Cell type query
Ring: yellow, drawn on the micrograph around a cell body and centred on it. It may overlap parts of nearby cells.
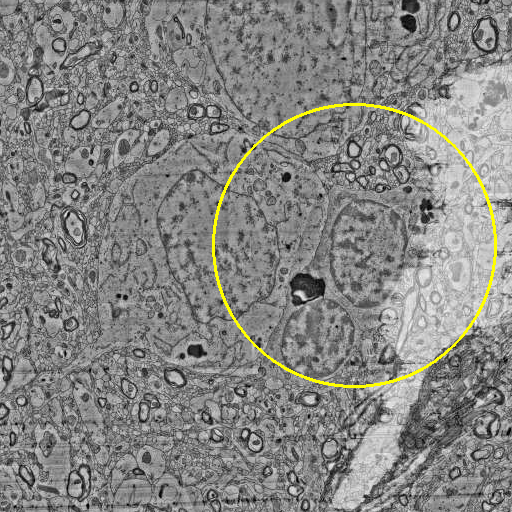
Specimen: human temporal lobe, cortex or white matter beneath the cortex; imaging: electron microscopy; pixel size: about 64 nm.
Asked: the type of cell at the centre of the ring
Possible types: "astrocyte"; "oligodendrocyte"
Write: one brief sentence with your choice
The ring marks an oligodendrocyte.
